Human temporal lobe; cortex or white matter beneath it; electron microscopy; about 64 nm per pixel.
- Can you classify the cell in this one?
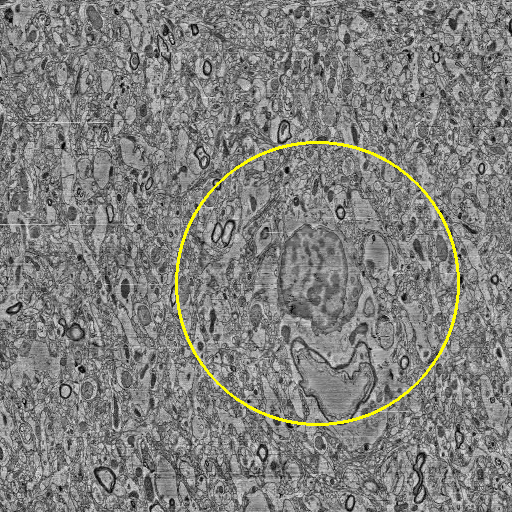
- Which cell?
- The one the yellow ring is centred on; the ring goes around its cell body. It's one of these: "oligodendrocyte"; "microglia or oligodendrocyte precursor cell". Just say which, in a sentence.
The cell body in the ring belongs to an oligodendrocyte.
